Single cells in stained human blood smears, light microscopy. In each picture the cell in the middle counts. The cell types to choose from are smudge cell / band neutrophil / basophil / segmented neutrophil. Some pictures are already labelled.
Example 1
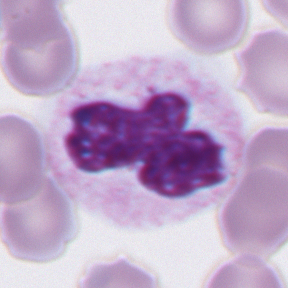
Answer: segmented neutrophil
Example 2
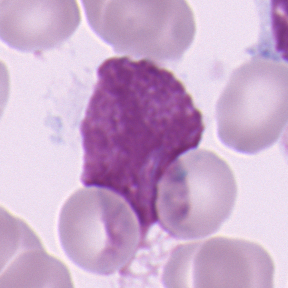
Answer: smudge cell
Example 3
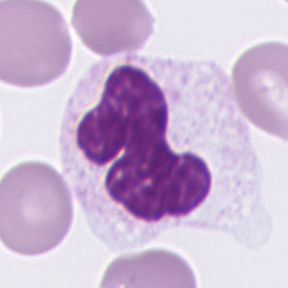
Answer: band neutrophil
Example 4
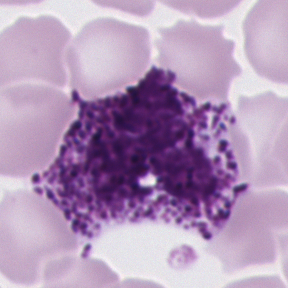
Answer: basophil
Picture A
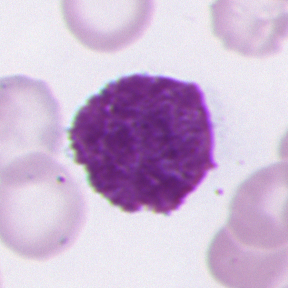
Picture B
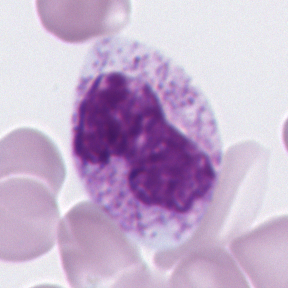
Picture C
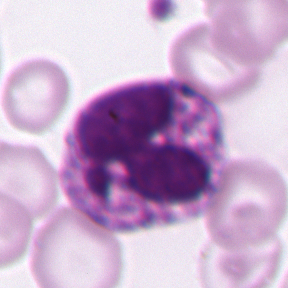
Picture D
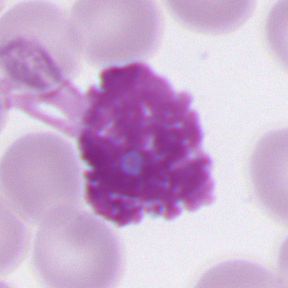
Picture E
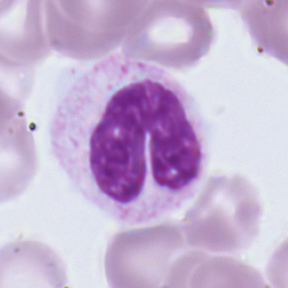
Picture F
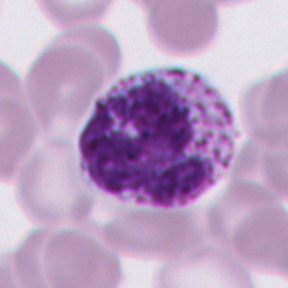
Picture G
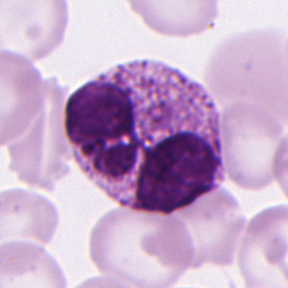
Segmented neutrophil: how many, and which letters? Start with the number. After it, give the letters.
0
